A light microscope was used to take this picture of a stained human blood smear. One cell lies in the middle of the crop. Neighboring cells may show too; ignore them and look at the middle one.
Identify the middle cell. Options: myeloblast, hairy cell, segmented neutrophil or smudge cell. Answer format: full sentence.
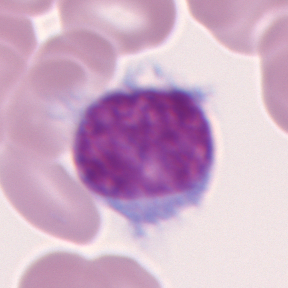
This crop is built around a hairy cell at its centre.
